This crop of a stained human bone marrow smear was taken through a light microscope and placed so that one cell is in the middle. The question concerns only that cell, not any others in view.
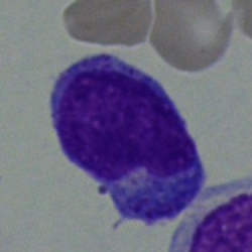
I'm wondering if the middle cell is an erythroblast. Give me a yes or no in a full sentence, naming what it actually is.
No, the central cell is not an erythroblast, being instead a blast.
